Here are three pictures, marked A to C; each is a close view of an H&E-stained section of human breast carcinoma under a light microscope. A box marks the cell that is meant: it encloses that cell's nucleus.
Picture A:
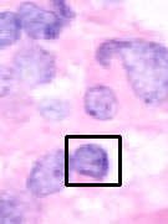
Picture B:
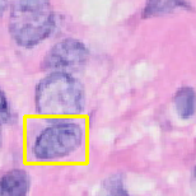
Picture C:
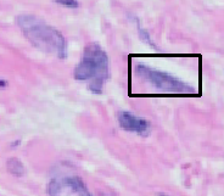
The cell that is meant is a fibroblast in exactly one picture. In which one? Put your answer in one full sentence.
It is picture C that shows the fibroblast.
